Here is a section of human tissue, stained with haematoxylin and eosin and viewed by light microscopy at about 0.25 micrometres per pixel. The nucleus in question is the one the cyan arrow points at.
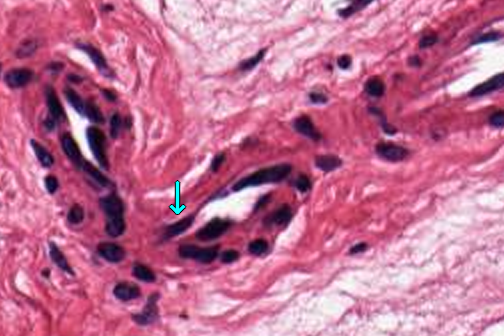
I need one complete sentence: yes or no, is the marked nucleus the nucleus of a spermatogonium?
No, the marked nucleus is not borne by a spermatogonium; it is borne by a supporting cell.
